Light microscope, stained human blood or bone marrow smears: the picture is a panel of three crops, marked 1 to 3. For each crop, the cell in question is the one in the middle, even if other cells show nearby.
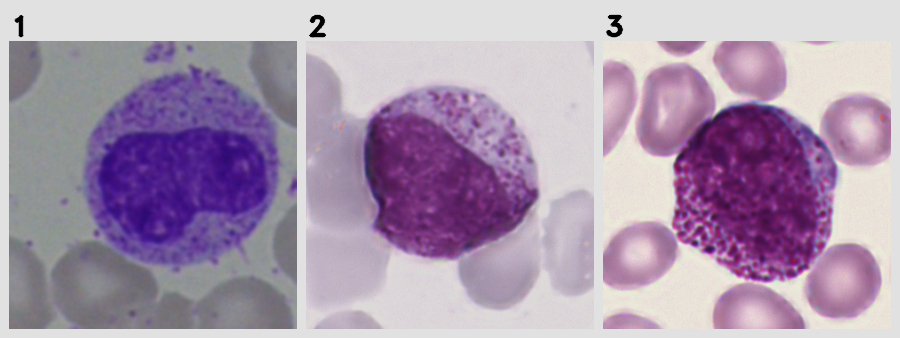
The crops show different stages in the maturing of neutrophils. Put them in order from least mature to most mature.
3, 2, 1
